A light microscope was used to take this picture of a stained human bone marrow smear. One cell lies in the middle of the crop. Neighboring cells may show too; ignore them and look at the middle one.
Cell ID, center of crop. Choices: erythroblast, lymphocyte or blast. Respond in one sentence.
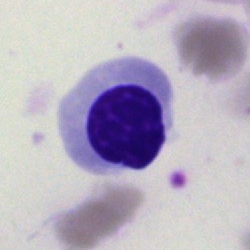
The cell at the middle of the crop is recognized as an erythroblast.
